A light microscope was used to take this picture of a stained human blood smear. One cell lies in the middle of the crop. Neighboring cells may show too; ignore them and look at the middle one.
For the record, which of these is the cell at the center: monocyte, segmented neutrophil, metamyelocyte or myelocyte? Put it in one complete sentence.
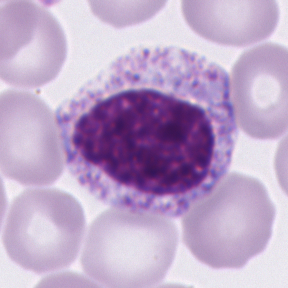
The cell nearest the centre of this crop is a myelocyte.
